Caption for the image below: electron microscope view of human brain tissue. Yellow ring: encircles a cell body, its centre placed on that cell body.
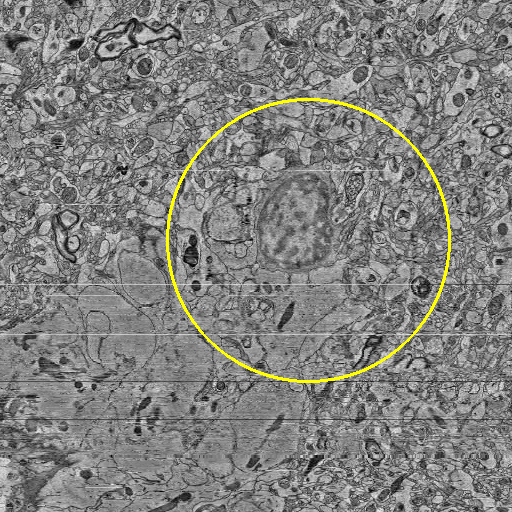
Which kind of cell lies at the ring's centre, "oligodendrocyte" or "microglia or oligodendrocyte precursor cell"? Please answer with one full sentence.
The picture shows an oligodendrocyte at the centre of the yellow ring.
